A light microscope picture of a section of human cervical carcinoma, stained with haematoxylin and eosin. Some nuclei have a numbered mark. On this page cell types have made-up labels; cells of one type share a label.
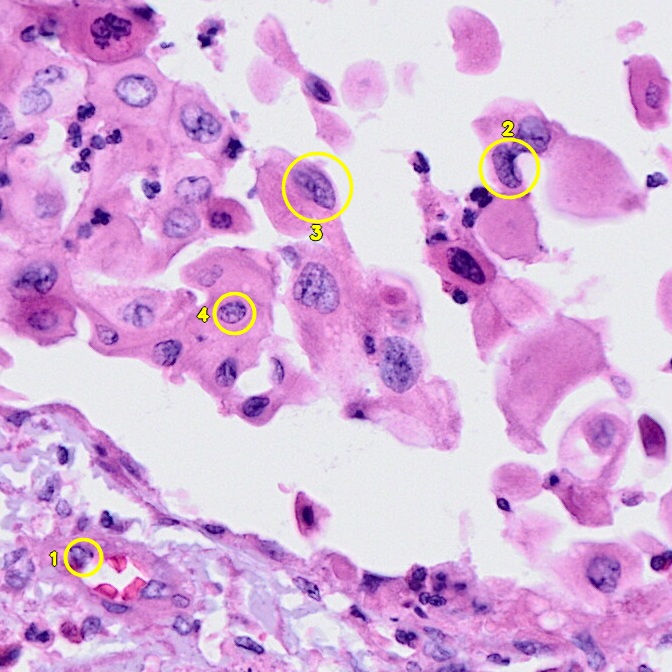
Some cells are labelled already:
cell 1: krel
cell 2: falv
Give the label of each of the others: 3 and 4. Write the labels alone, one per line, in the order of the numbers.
falv
falv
